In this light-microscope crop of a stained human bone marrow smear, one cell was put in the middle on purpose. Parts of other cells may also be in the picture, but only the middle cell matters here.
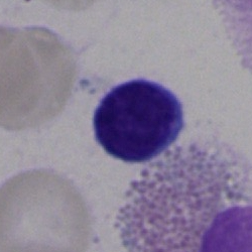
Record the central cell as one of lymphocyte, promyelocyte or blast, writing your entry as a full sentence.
Occupying the centre of the crop is a lymphocyte.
